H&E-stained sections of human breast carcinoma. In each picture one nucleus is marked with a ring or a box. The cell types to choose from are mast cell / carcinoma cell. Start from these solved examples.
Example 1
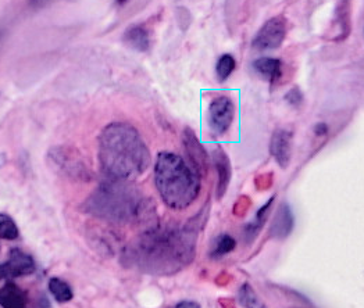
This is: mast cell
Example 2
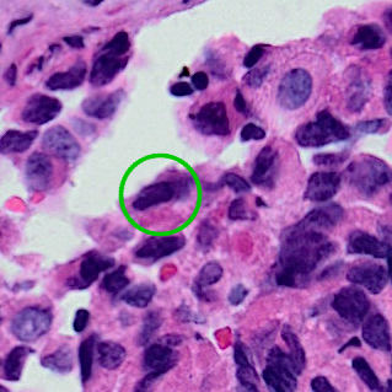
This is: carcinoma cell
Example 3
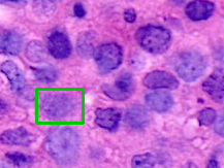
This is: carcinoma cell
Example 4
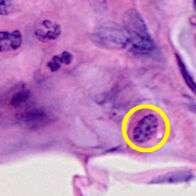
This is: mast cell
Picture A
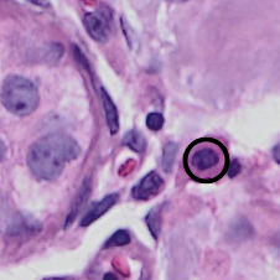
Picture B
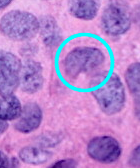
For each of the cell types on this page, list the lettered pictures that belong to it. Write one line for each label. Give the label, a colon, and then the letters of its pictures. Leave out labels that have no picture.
mast cell: A
carcinoma cell: B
